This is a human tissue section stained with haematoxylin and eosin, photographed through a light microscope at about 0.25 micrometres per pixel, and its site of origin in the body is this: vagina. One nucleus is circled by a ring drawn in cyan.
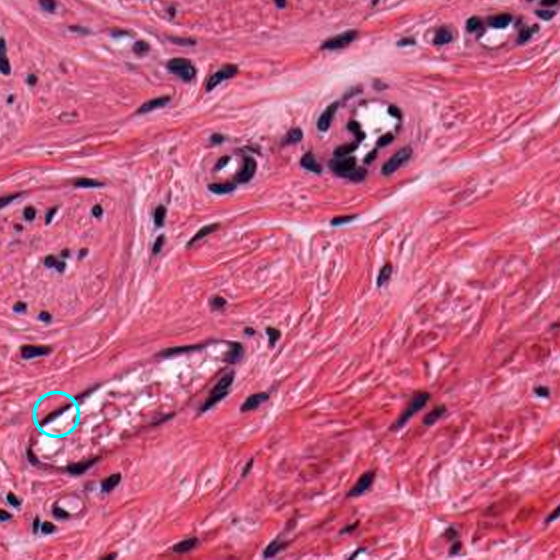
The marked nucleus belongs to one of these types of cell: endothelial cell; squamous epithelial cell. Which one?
endothelial cell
